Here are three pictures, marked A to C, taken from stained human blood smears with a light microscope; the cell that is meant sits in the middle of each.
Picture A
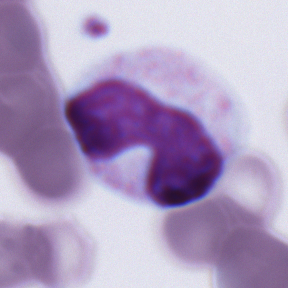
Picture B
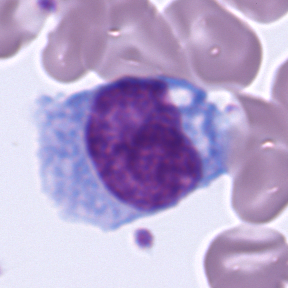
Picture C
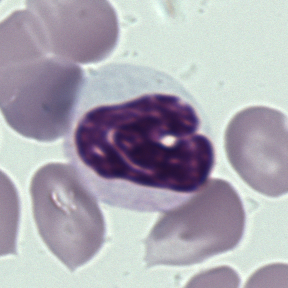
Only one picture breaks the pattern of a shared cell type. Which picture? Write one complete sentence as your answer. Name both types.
All pictures except B show band neutrophils; picture B shows a monocyte.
